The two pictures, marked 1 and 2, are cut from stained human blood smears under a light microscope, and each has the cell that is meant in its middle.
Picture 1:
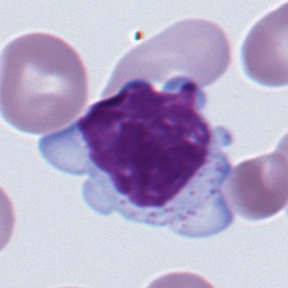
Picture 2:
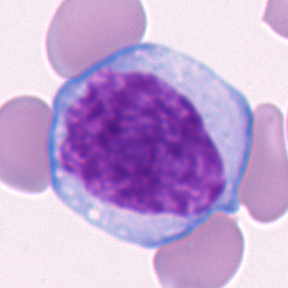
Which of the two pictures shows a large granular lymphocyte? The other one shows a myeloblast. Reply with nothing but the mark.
1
